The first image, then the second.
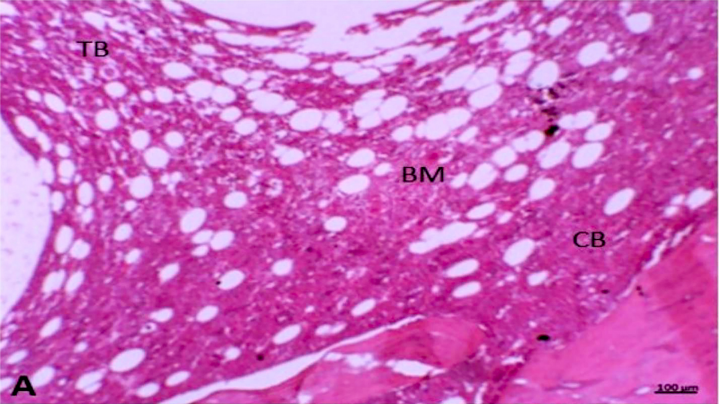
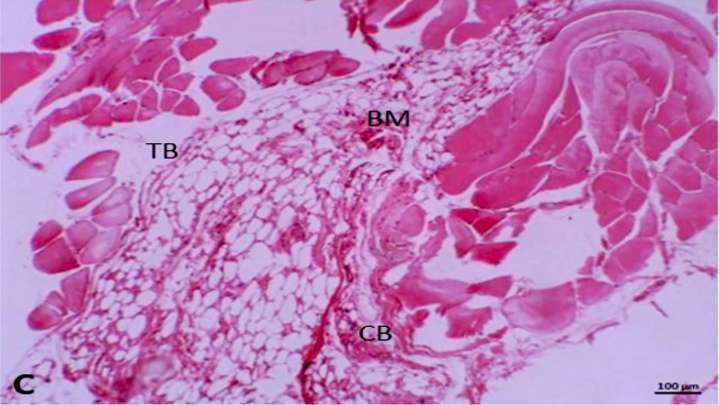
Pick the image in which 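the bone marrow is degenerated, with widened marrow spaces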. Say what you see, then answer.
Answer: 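The second image. Second image: the marrow region is a pale, loose, mostly empty mesh with few cells. First image: the marrow is densely cellular, with clear round fat spaces scattered among the cells.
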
